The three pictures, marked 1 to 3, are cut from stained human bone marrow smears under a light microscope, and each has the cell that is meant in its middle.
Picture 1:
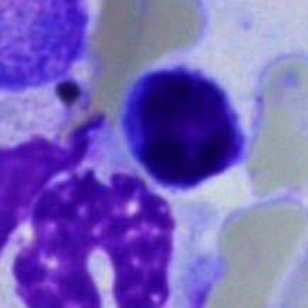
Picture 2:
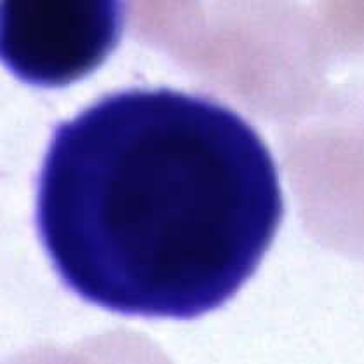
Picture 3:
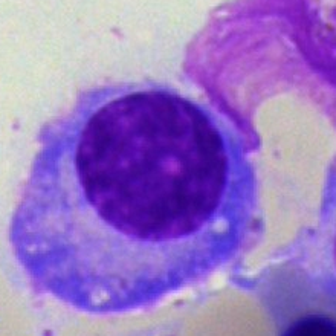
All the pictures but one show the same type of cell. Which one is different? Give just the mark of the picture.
1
